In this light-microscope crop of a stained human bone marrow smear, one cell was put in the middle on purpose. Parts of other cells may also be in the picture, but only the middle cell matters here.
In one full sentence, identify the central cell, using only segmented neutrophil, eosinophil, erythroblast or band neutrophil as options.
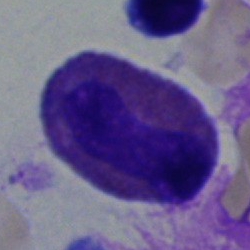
Present in the middle of the crop is an eosinophil.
